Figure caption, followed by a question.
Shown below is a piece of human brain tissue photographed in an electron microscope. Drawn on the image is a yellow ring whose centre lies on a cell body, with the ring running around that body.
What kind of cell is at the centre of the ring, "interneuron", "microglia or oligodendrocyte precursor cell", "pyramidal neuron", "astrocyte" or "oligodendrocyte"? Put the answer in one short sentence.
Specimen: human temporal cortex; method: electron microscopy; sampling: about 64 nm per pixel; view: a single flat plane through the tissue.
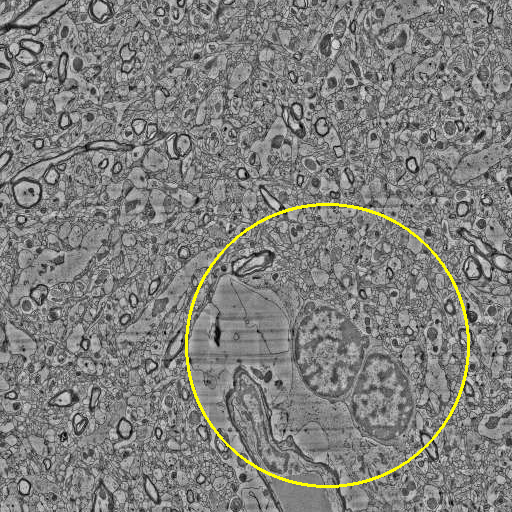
The ring marks the cell body of an oligodendrocyte.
